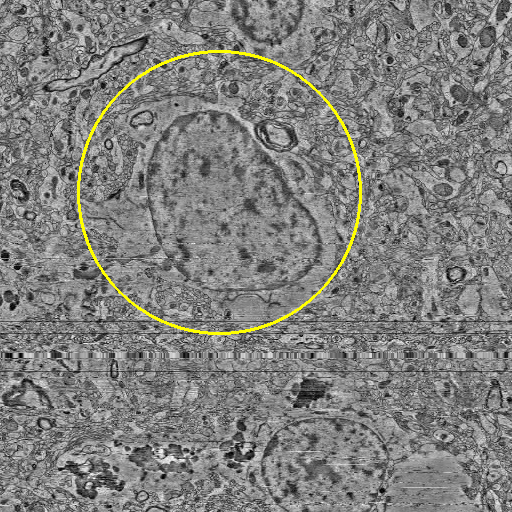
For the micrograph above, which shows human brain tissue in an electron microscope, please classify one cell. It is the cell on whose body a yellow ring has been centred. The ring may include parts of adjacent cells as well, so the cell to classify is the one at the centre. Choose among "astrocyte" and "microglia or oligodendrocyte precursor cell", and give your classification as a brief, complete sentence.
I classify this cell as an astrocyte.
